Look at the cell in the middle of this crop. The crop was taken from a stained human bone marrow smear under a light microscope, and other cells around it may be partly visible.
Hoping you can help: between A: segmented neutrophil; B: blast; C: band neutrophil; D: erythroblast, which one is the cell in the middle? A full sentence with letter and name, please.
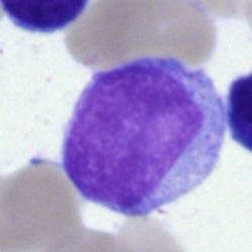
Option B is the correct selection, for the cell at the centre is a blast.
